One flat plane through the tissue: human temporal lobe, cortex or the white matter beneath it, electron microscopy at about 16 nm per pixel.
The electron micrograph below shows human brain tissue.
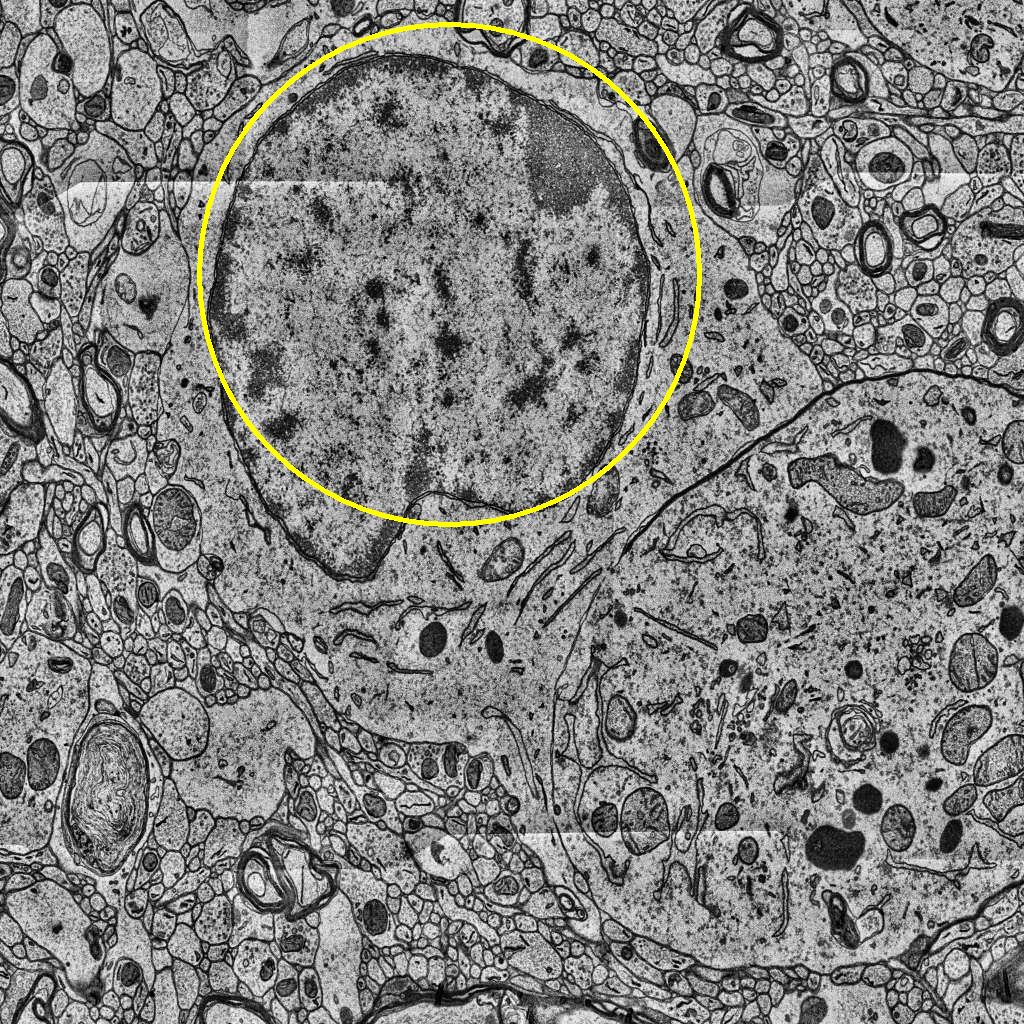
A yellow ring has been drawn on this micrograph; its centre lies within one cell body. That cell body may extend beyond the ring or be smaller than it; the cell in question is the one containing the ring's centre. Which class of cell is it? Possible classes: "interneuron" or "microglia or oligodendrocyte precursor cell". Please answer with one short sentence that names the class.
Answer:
In the centre of the ring sits a microglial cell or oligodendrocyte precursor cell.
